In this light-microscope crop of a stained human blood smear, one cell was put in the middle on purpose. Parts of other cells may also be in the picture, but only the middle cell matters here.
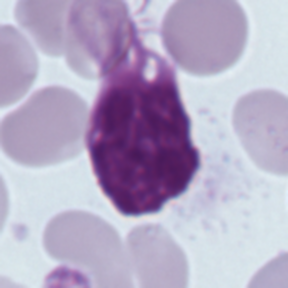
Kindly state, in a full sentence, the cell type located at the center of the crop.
The cell of interest, in the center, is a smudge cell.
